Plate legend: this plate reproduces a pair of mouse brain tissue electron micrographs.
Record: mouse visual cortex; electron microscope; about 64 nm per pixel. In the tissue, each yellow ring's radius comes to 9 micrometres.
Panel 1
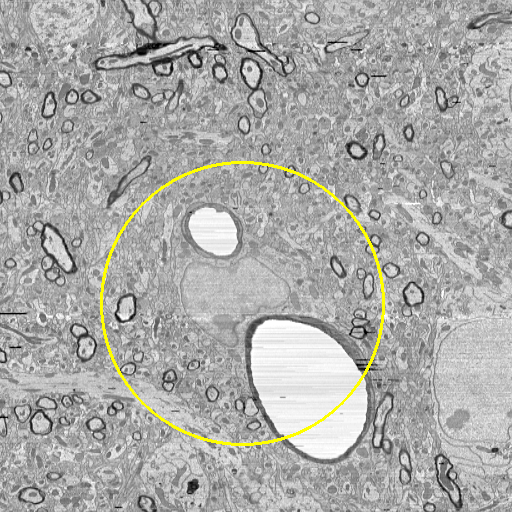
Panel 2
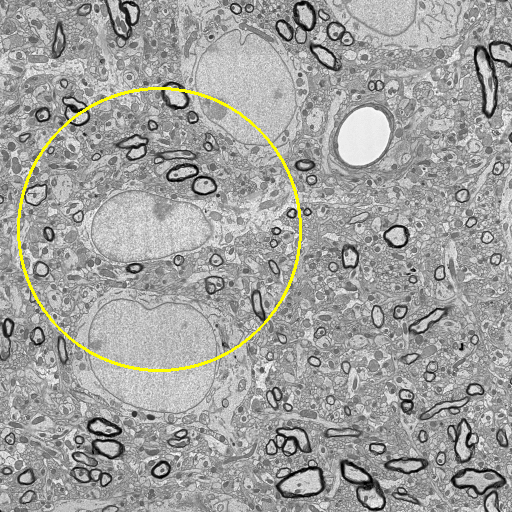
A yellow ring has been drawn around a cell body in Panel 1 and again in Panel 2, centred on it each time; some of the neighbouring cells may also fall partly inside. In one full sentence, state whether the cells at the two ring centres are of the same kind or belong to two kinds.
The ring-centred cells of Panel 1 and Panel 2 are of the same kind.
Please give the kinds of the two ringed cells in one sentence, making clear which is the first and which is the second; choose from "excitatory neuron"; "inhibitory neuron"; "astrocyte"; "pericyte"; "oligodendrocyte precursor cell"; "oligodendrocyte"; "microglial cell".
The ring centre holds an astrocyte in each of the two pictures.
